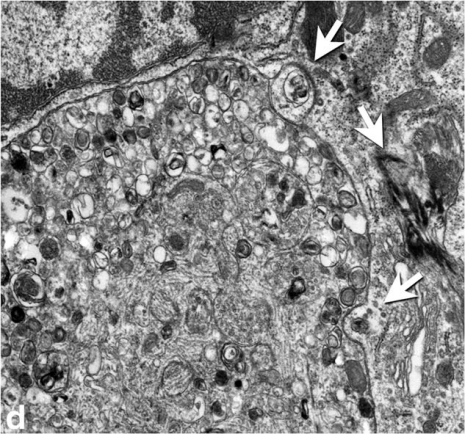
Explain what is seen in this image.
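Here a microglial cell lies against a dystrophic axon. At the top edge runs part of a nucleus with dark, clumped heterochromatin beneath the nuclear envelope, and the cytoplasm nearby holds several phagocytic inclusions with dense, layered or whorled contents. Beside it, a large profile is crowded with vacuoles and dense bodies of varied sizes, typical of a dystrophic neurite.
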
